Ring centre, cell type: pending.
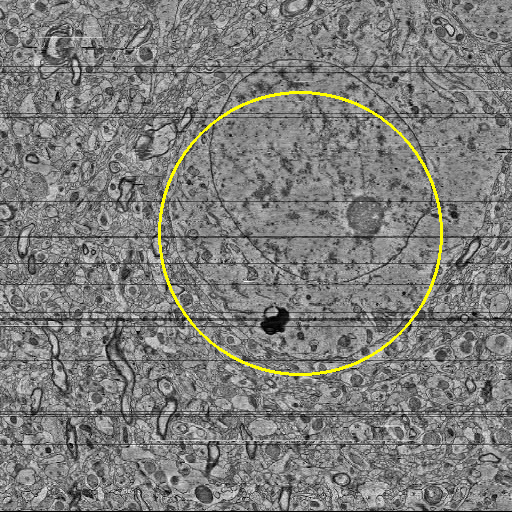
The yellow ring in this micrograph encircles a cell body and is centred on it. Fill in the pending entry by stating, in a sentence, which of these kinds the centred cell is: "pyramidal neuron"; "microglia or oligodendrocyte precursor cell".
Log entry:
The centred cell is recorded as a pyramidal neuron.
